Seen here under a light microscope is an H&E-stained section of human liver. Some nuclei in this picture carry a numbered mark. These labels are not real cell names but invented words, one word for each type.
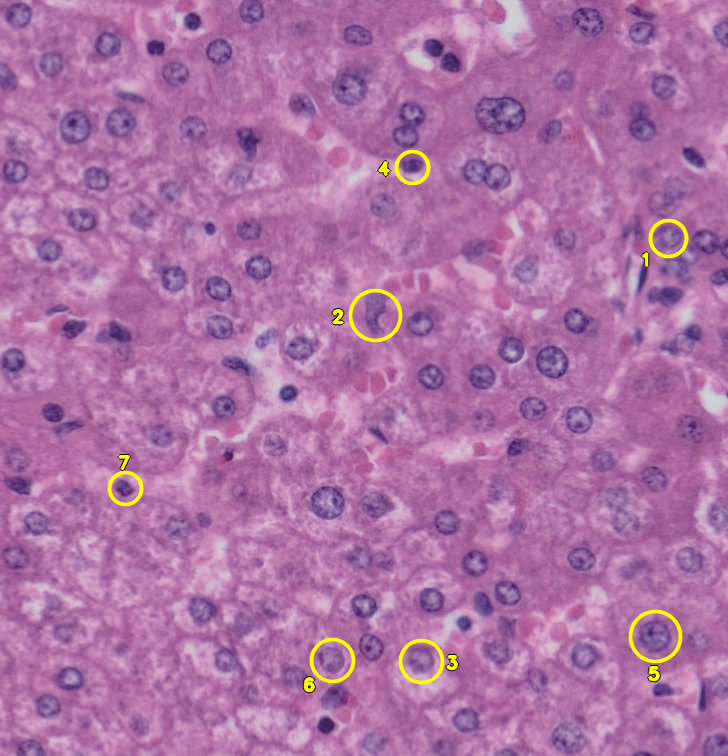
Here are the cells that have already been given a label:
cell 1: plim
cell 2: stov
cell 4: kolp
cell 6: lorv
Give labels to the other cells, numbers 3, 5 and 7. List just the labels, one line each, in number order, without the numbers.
lorv
lorv
kolp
